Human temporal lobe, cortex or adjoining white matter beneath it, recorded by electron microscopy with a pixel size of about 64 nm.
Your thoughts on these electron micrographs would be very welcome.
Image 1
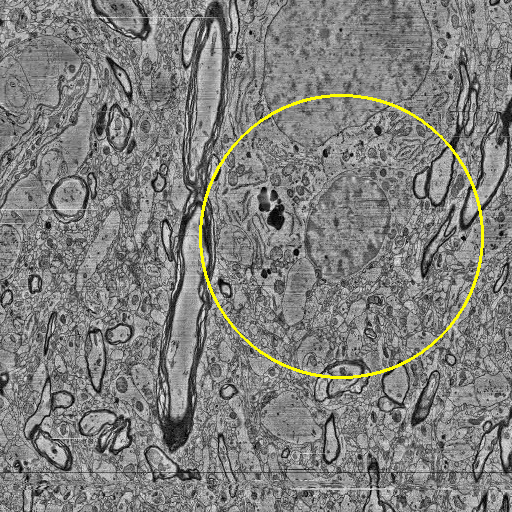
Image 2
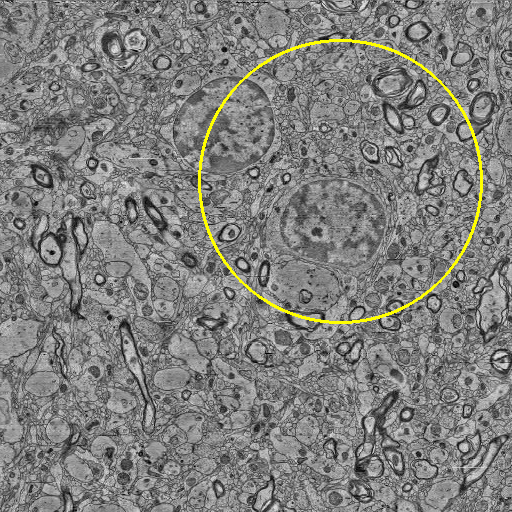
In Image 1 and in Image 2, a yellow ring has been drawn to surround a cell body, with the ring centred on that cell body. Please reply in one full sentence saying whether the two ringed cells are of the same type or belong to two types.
The ringed cells in Image 1 and Image 2 are of the same type.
